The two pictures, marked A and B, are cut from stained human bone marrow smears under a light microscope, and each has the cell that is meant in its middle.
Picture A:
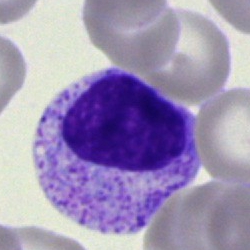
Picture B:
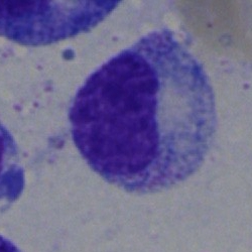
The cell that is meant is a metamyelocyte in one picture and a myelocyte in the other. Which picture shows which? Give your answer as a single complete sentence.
In picture A the cell is a myelocyte; in picture B, a metamyelocyte.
